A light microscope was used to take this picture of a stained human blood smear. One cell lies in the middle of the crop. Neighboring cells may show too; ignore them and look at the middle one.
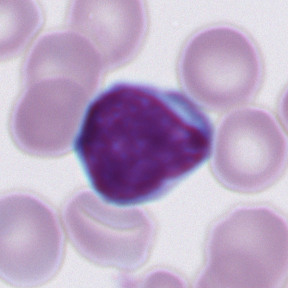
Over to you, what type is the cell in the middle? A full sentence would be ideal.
The cell that lies at the centre of the crop is a typical lymphocyte.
